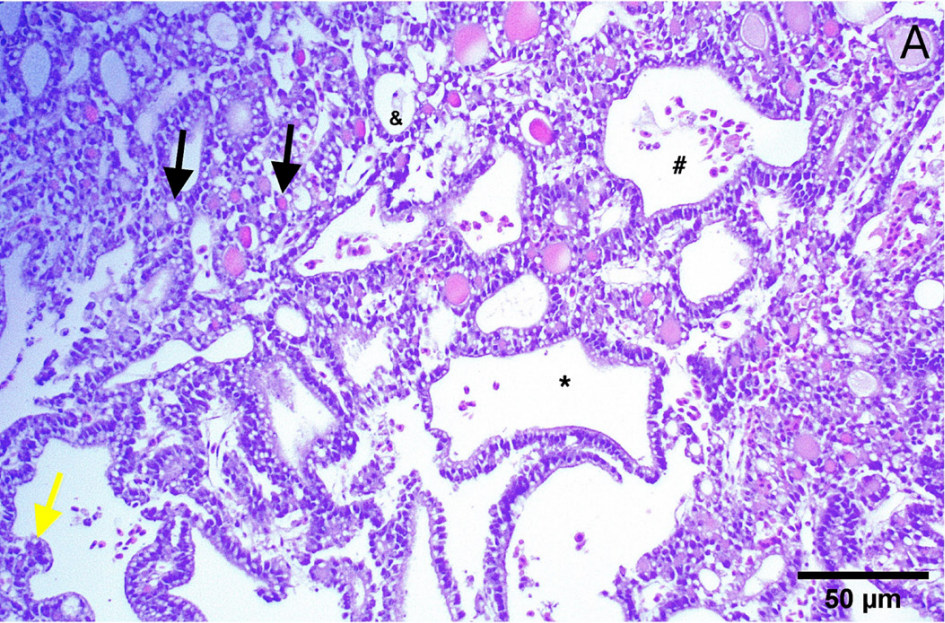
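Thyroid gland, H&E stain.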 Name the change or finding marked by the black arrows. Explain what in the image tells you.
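Small amount of pale eosinophilic colloid. Small round pink homogeneous droplets sit in tiny follicles. These follicles have very small lumina.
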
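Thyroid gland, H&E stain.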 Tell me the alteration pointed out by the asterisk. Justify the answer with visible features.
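Lack colloids. The marked follicle is large and irregular. Its lumen is largely empty, without pink homogeneous material.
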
